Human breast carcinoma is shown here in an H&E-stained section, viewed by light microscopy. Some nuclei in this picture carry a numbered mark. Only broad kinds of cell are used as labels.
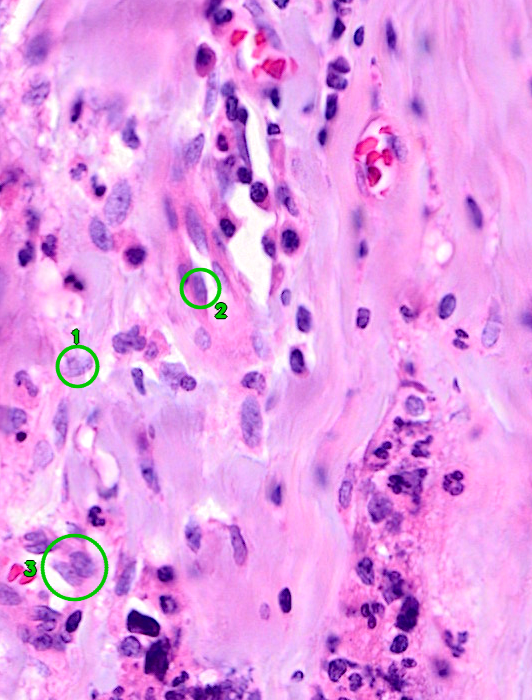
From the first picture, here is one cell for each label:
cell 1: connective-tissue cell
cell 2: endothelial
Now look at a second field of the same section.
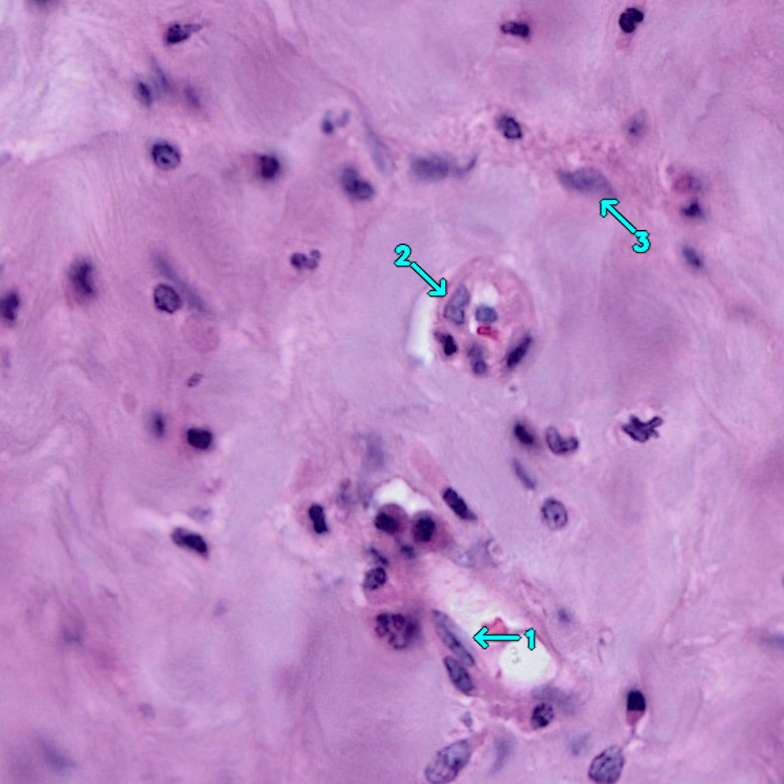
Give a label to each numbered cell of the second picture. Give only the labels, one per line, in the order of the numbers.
endothelial
endothelial
connective-tissue cell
